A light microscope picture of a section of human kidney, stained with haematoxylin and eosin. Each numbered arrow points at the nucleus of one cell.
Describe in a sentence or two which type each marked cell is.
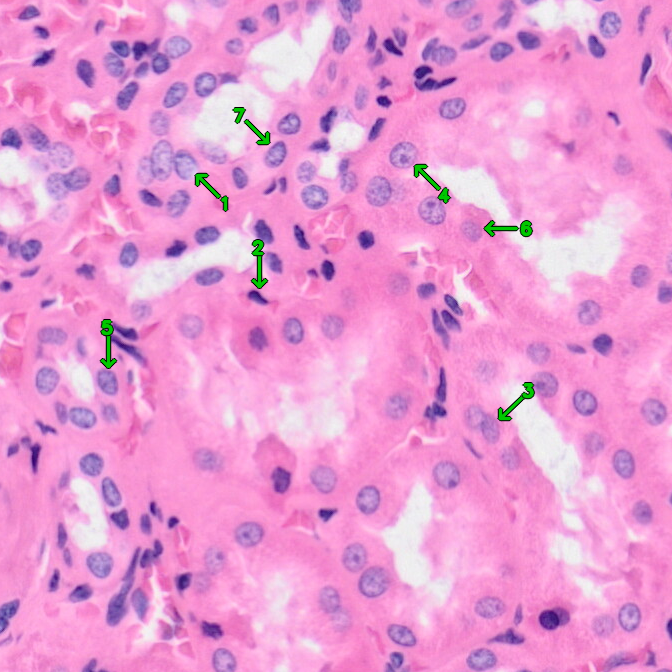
Cells 1, 5 and 7 are collecting duct cells. Cell 2 is an endothelial cell. Cells 3, 4 and 6 are proximal tubule cells.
